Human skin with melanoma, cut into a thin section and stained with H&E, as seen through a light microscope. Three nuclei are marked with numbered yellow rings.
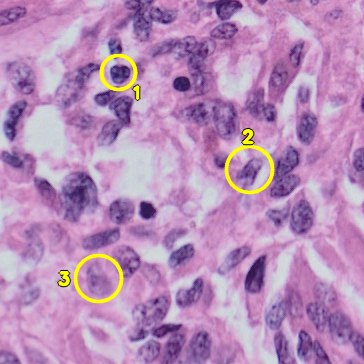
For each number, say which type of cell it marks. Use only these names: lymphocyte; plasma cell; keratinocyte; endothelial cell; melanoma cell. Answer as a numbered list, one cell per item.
1. lymphocyte
2. melanoma cell
3. melanoma cell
